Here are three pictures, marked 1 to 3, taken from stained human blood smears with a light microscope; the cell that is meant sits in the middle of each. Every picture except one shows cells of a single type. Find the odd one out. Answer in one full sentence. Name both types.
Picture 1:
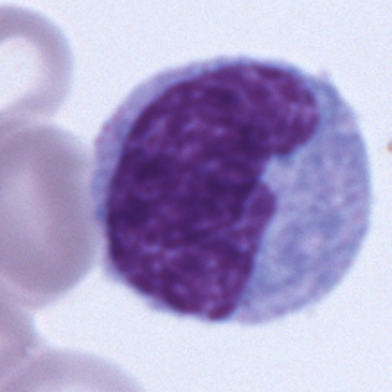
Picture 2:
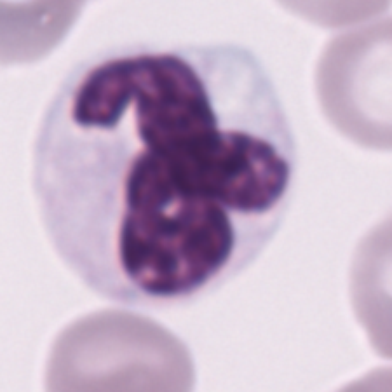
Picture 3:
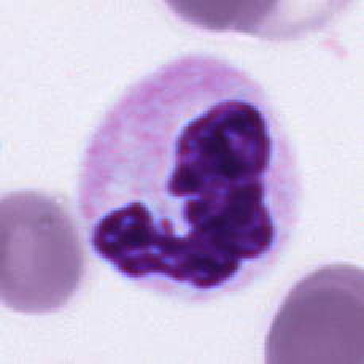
Picture 1 differs, because its cell is a monocyte and the rest are segmented neutrophils.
